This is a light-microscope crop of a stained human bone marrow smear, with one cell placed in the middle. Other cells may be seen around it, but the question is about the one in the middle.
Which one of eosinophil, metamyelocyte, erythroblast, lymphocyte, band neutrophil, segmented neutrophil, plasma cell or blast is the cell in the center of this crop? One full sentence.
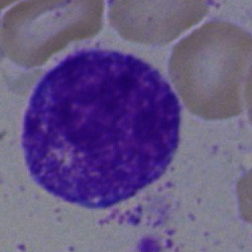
Framed in the middle of the crop is a metamyelocyte.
